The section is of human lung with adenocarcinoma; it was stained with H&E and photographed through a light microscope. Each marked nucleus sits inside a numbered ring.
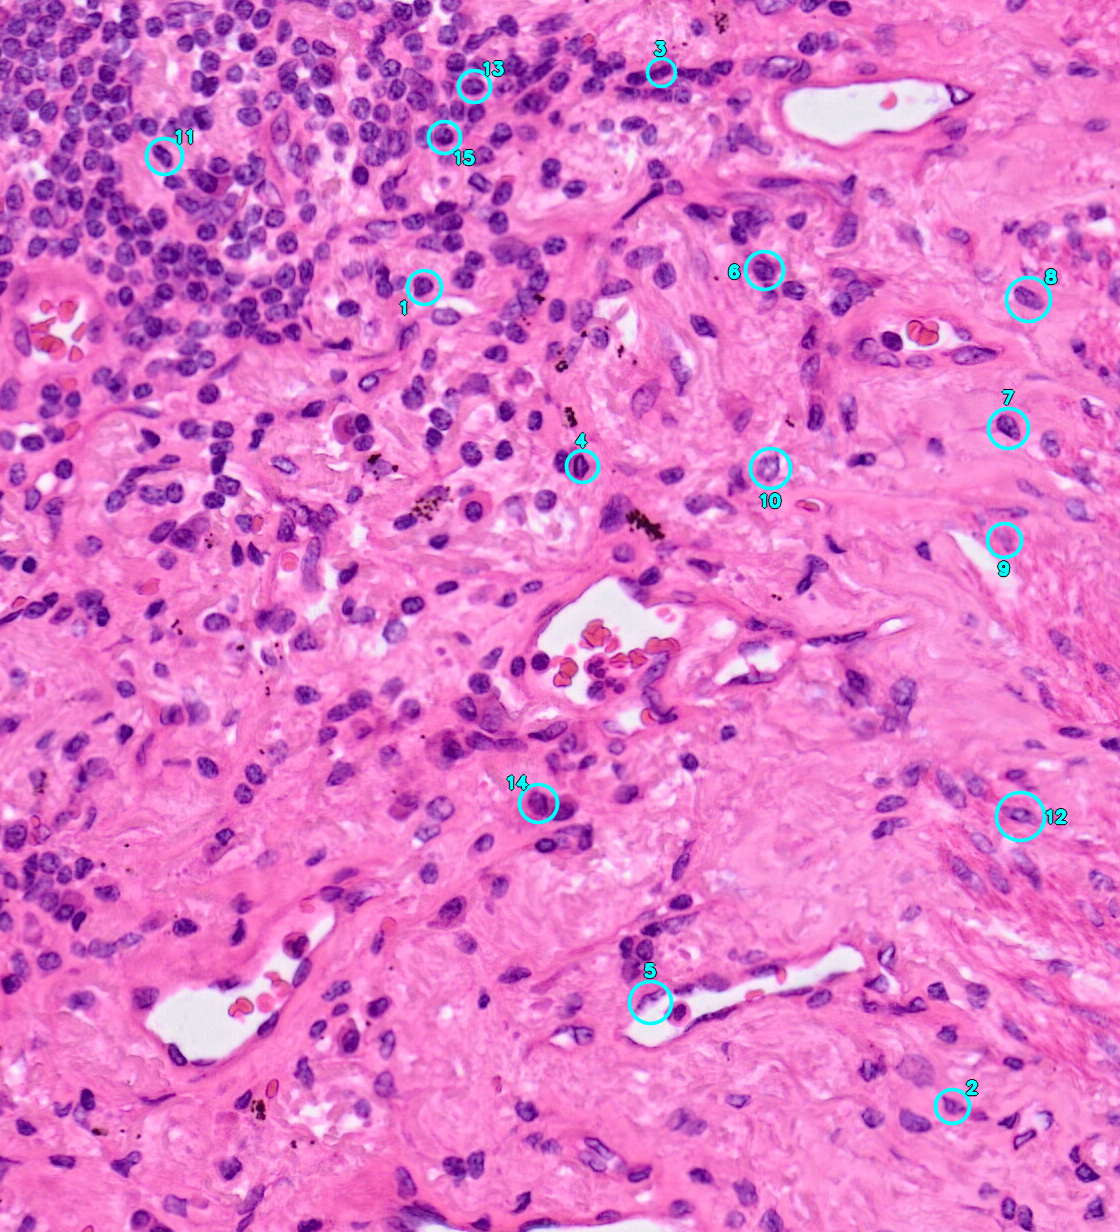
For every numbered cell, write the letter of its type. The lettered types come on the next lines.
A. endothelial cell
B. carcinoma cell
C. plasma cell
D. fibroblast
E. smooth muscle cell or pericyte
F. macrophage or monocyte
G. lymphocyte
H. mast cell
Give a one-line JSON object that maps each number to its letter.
{"1": "G", "2": "H", "3": "C", "4": "C", "5": "A", "6": "C", "7": "H", "8": "H", "9": "E", "10": "D", "11": "G", "12": "E", "13": "G", "14": "C", "15": "G"}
